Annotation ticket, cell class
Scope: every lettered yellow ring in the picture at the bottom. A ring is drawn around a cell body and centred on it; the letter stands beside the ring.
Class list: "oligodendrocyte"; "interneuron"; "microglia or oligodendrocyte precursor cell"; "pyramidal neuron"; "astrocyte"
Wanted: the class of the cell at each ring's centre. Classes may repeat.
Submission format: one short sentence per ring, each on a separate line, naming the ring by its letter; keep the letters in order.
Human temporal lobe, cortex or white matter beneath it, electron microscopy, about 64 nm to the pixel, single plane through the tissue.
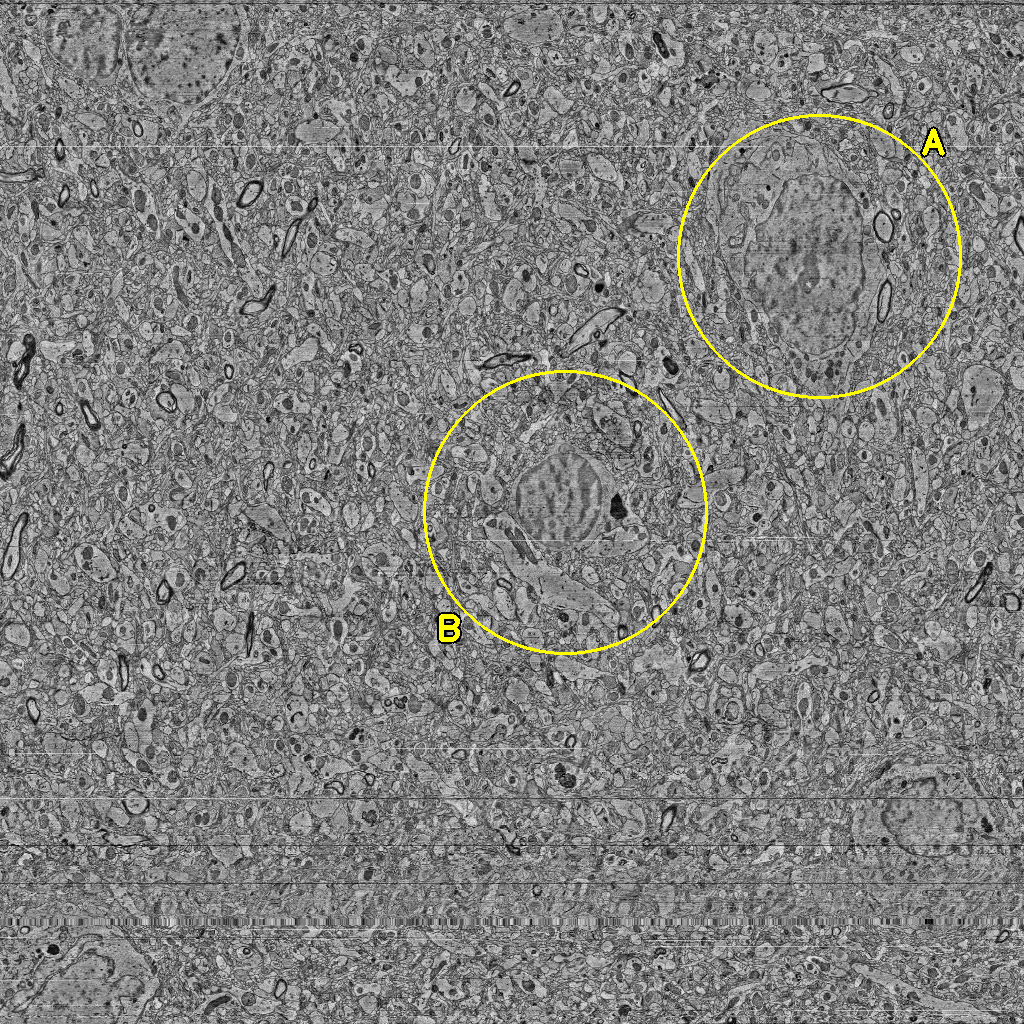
The centre of ring A is occupied by an interneuron.
The centre of ring B is occupied by an oligodendrocyte.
